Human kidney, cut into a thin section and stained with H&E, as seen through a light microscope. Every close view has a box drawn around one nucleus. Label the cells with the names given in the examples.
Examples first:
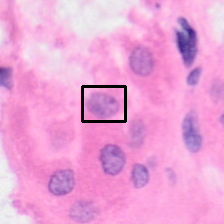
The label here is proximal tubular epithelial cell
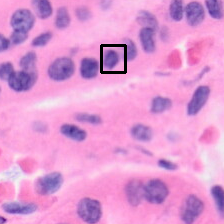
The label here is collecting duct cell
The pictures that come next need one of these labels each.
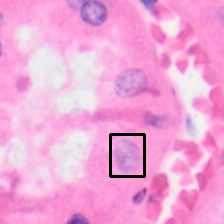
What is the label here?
proximal tubular epithelial cell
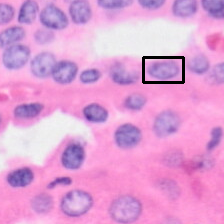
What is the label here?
collecting duct cell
